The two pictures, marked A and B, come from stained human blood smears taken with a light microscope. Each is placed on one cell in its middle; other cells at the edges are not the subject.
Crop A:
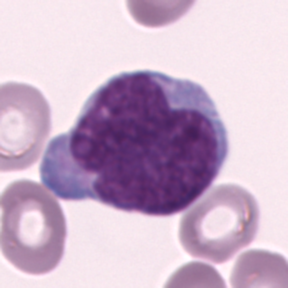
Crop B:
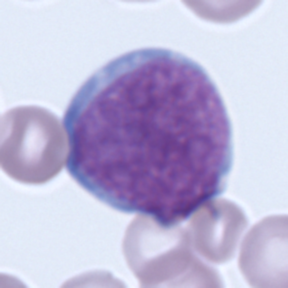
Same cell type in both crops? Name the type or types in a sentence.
No, it is in crop A that an atypical promyelocyte is shown, and in crop B that a myeloblast is shown.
